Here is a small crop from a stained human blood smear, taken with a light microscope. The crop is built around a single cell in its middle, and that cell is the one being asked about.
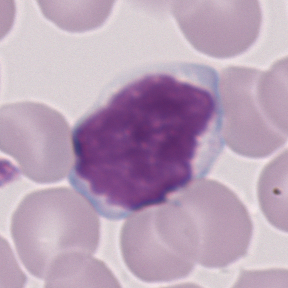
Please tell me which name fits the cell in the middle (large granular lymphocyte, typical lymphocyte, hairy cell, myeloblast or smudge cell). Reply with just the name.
typical lymphocyte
